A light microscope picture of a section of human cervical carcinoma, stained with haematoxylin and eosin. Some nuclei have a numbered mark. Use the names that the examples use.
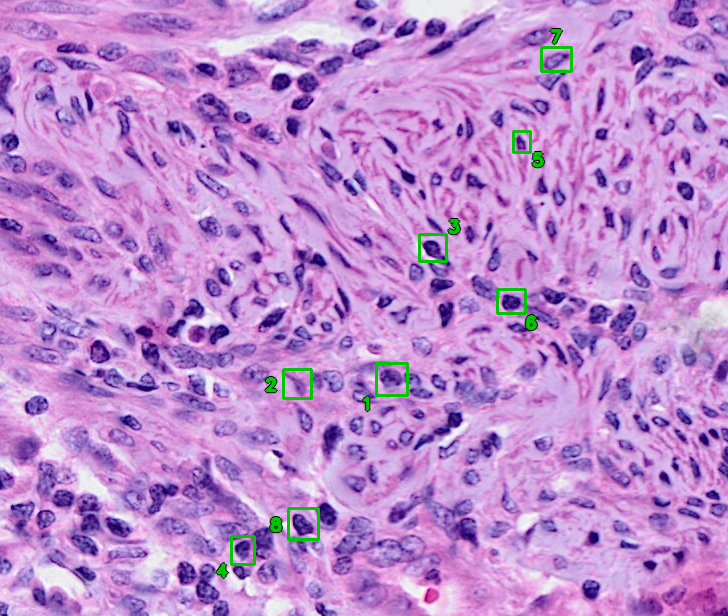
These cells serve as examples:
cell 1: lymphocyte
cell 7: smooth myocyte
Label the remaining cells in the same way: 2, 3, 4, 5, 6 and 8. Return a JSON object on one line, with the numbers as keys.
{"2": "smooth myocyte", "3": "lymphocyte", "4": "lymphocyte", "5": "smooth myocyte", "6": "lymphocyte", "8": "lymphocyte"}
